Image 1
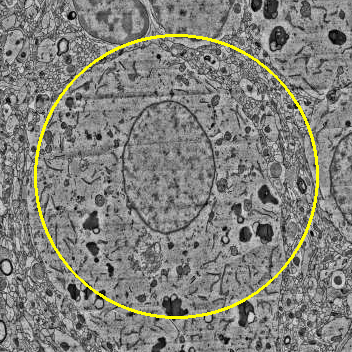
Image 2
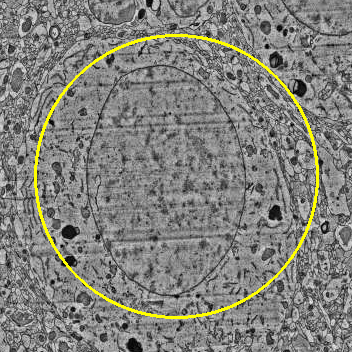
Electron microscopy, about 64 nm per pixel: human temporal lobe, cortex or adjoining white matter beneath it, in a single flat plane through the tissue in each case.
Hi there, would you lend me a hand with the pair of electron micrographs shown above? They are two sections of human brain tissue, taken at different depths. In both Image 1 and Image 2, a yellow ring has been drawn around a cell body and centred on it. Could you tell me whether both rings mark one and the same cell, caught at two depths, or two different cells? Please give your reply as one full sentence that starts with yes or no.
Yes, both rings are placed on a single cell.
